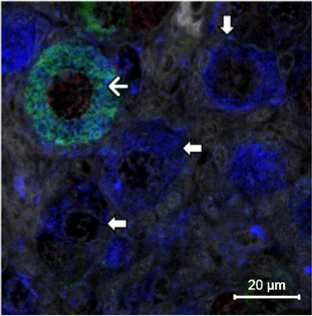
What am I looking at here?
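One large cell at left has a dark round nucleus surrounded by a thick ring of granular green-stained cytoplasm. Several other large cells nearby have dark nuclei and blue-stained cytoplasm only. Small flattened grey-stained cells lie around the margins of the large cells.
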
